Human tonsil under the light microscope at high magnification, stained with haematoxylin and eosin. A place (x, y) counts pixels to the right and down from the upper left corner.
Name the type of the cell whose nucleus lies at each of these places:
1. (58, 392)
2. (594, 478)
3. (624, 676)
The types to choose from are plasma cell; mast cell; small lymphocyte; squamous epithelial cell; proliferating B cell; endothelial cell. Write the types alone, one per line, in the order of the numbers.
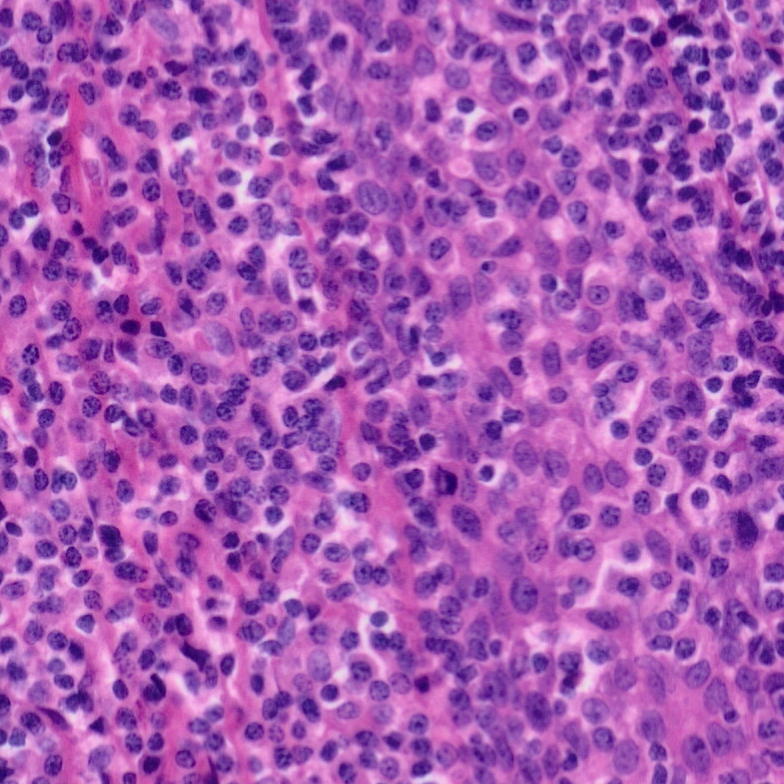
plasma cell
squamous epithelial cell
squamous epithelial cell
